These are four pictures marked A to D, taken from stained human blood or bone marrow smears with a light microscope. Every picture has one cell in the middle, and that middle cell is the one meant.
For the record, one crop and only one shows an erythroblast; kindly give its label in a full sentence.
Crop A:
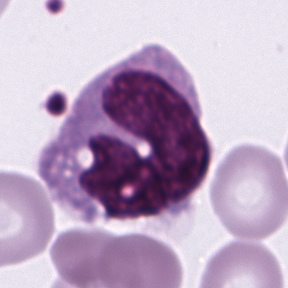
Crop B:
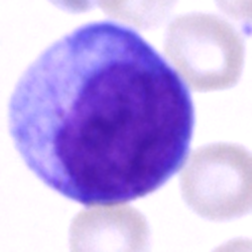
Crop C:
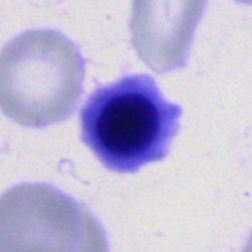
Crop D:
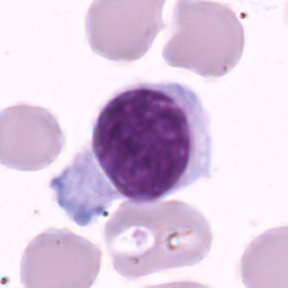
Crop C is the crop in which an erythroblast is shown.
